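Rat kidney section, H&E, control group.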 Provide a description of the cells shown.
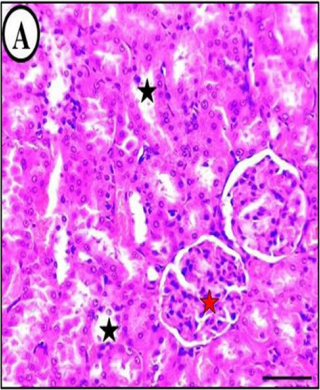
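Renal cortex with two glomeruli and surrounding tubules is seen. Each glomerulus is a rounded tuft of capillary loops with many purple nuclei, separated by a thin clear space from its capsule. The surrounding tubules are closely packed, lined by pink cuboidal cells with round nuclei arranged around narrow lumina.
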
